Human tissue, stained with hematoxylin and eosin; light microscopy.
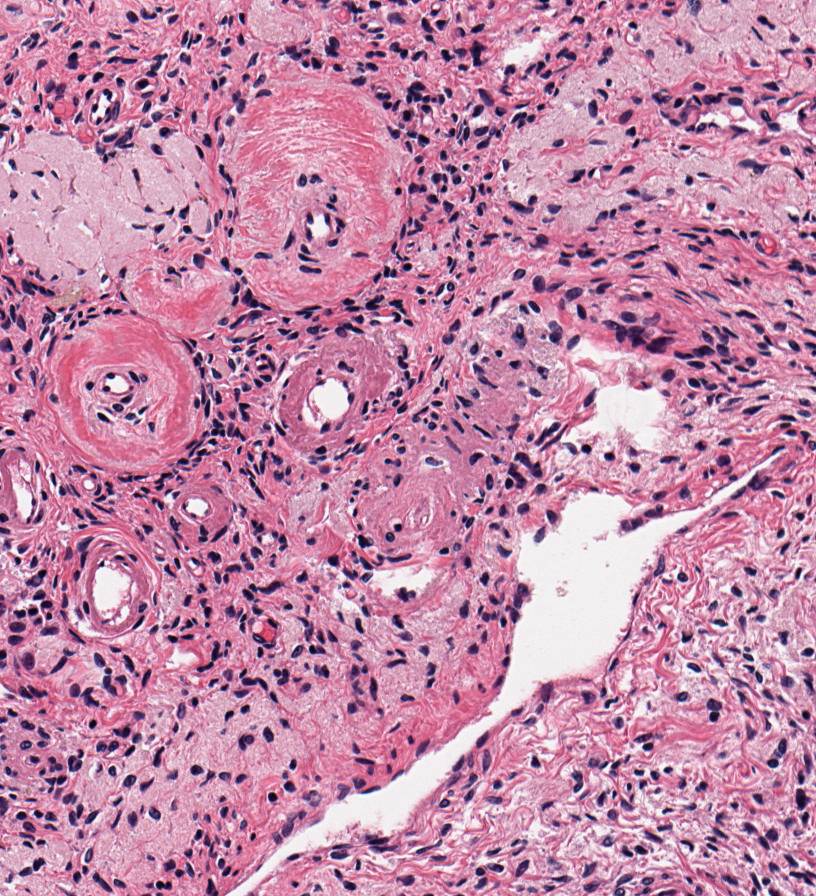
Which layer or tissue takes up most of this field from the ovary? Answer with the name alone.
ovarian medulla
